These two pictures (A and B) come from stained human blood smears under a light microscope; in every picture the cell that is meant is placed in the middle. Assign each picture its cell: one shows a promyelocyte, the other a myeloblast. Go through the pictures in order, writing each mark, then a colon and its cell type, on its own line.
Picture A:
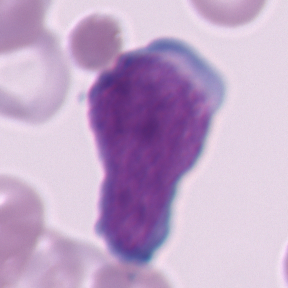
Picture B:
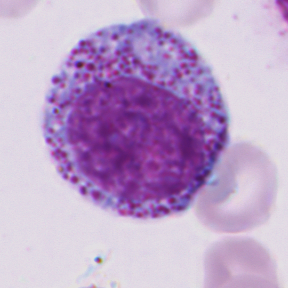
A: myeloblast
B: promyelocyte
